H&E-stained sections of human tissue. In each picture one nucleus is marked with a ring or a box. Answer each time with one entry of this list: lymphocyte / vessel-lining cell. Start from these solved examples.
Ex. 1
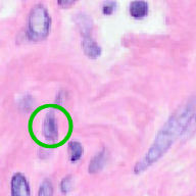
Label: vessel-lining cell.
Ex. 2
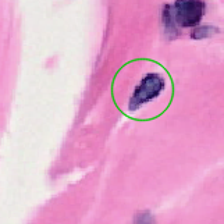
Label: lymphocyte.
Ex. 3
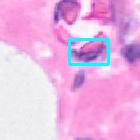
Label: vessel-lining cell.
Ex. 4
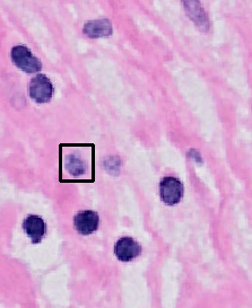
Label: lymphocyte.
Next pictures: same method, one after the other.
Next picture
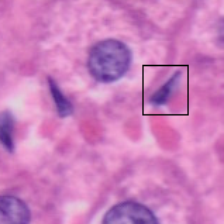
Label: vessel-lining cell.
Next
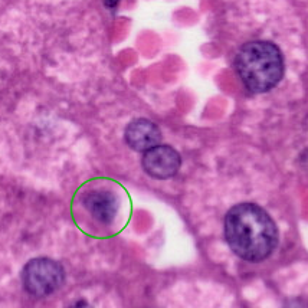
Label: vessel-lining cell.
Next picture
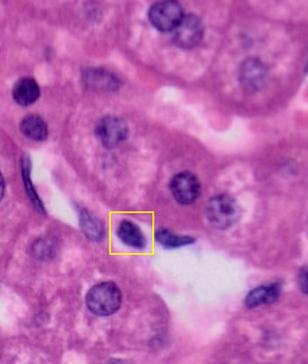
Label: lymphocyte.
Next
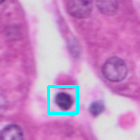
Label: lymphocyte.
